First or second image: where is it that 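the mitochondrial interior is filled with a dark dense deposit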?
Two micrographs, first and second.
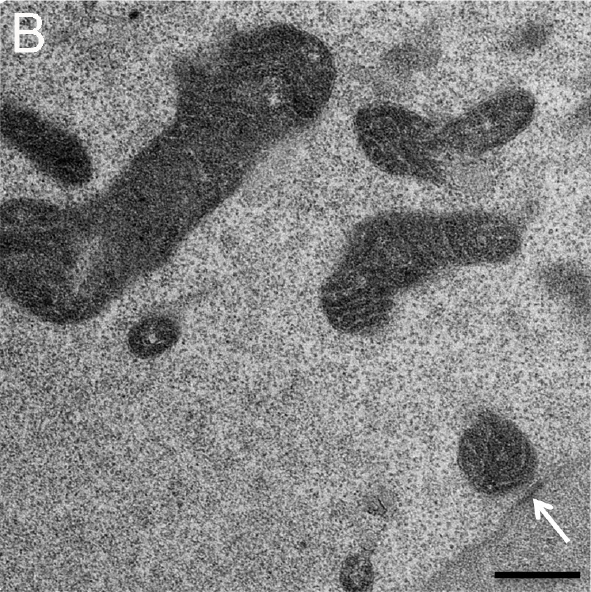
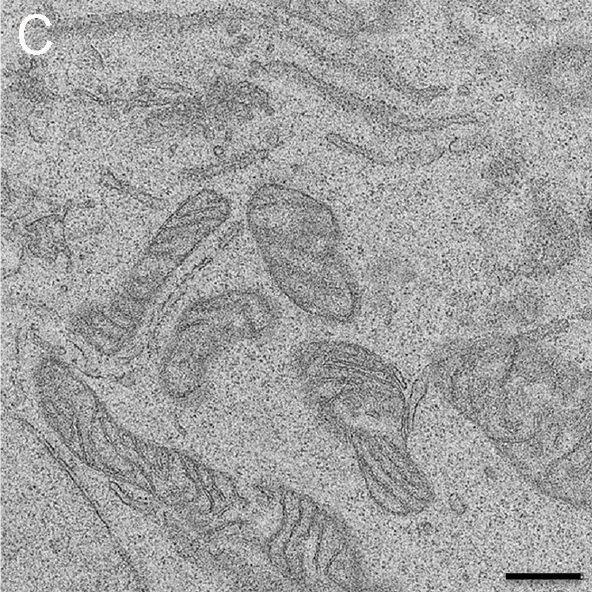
The first image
